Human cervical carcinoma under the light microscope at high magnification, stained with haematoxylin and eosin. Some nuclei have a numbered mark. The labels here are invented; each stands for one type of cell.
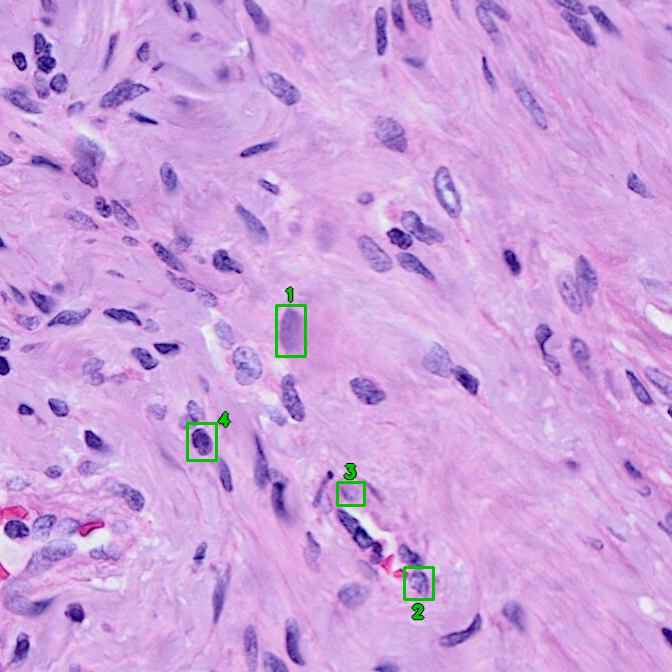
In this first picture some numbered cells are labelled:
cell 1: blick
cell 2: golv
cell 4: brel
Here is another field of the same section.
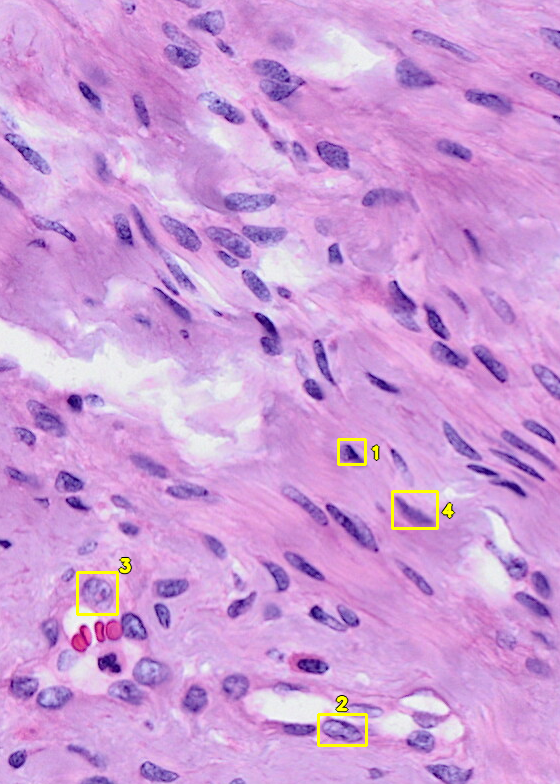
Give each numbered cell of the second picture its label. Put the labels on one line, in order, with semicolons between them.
blick; golv; golv; blick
